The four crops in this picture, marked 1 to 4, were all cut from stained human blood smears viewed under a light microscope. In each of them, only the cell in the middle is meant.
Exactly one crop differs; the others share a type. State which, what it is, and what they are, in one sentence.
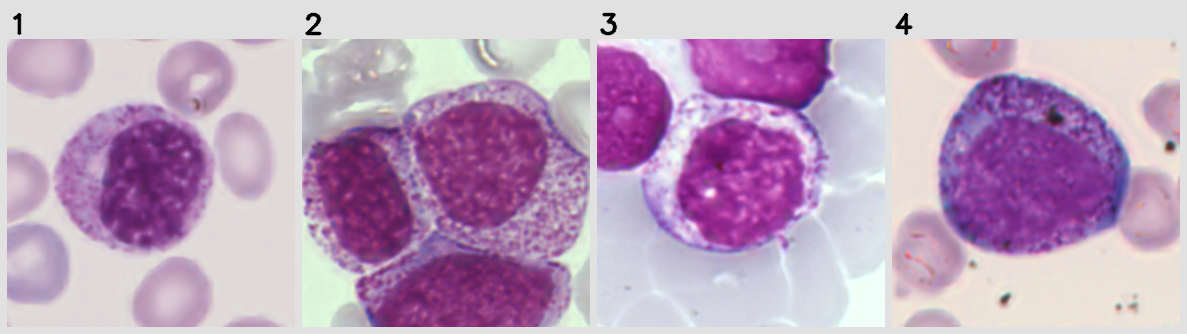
Identified in crop 4 is a promyelocyte, whereas the other crops all show myelocytes.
